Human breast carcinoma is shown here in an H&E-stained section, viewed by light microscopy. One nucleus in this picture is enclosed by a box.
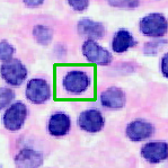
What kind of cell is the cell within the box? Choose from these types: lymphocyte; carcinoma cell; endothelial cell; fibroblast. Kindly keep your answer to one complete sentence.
Students should answer that the cell within the box is a lymphocyte.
